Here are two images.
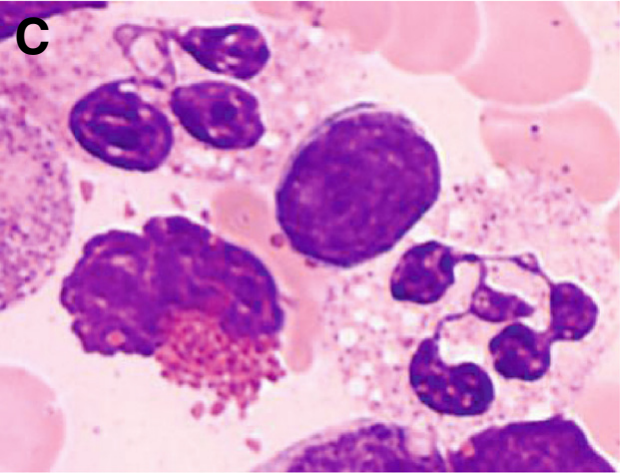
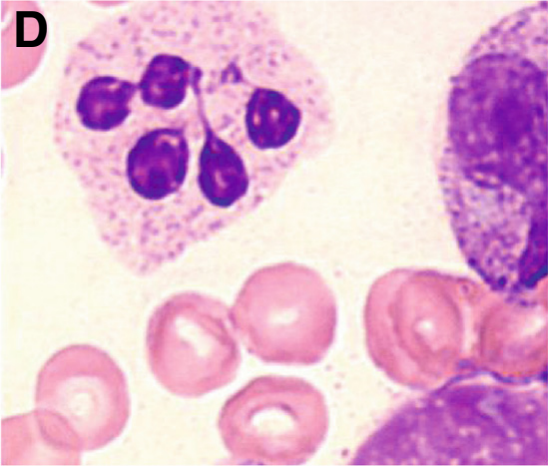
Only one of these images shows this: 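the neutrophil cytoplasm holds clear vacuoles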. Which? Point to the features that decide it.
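Second image: the multilobed cell has evenly granular pink cytoplasm without clear holes. First image: the multilobed cells on the right and upper left have many small clear round vacuoles in their cytoplasm. The answer: the first image.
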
